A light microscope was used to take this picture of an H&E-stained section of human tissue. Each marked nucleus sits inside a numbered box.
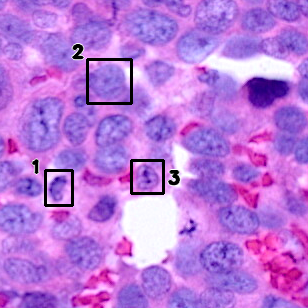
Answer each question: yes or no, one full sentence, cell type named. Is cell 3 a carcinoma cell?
No, cell number 3 is identified as a macrophage or monocyte, not as a carcinoma cell.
